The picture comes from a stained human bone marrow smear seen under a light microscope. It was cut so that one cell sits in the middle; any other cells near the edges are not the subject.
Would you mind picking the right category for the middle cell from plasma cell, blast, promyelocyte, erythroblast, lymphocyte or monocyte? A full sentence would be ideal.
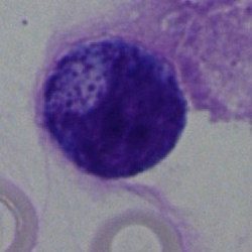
Positioned in the middle of the crop is a promyelocyte.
